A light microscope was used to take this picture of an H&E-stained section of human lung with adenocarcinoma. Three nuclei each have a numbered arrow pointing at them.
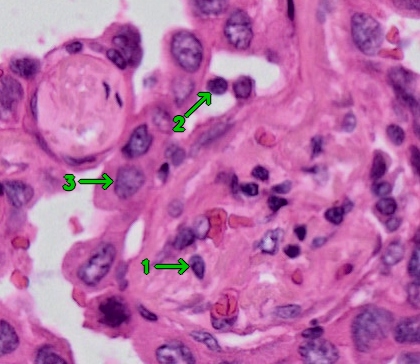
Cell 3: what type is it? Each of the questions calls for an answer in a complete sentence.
Cell 3 is classified as a carcinoma cell.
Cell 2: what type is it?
The one numbered 2 among the marked cells is a lymphocyte.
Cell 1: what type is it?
Here the cell numbered 1 is a lymphocyte.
